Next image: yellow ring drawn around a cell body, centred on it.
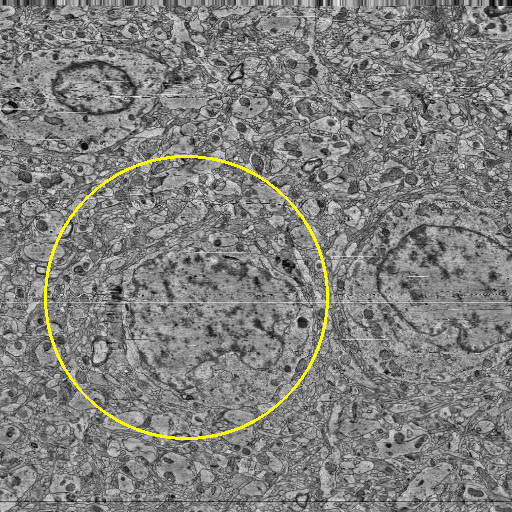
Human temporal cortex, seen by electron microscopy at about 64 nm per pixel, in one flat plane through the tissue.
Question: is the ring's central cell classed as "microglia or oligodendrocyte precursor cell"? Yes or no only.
no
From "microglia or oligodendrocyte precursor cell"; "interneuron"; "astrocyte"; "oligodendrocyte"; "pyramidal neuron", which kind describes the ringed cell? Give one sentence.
The ring holds an interneuron at its centre.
